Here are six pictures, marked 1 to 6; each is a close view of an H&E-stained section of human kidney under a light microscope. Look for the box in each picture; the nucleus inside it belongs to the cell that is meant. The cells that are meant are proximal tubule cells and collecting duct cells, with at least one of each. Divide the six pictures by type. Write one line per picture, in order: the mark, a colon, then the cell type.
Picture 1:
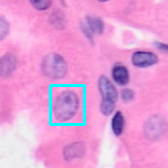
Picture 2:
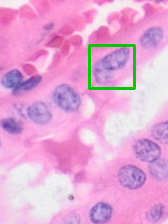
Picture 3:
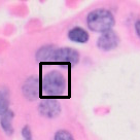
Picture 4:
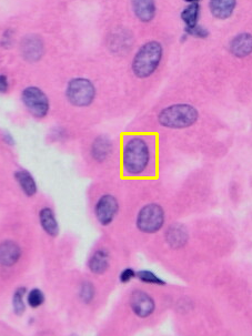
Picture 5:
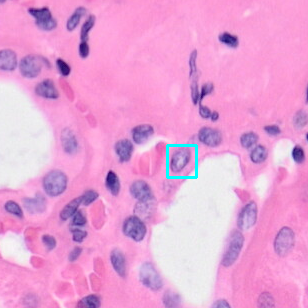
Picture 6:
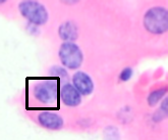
1: proximal tubule cell
2: collecting duct cell
3: collecting duct cell
4: proximal tubule cell
5: collecting duct cell
6: collecting duct cell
